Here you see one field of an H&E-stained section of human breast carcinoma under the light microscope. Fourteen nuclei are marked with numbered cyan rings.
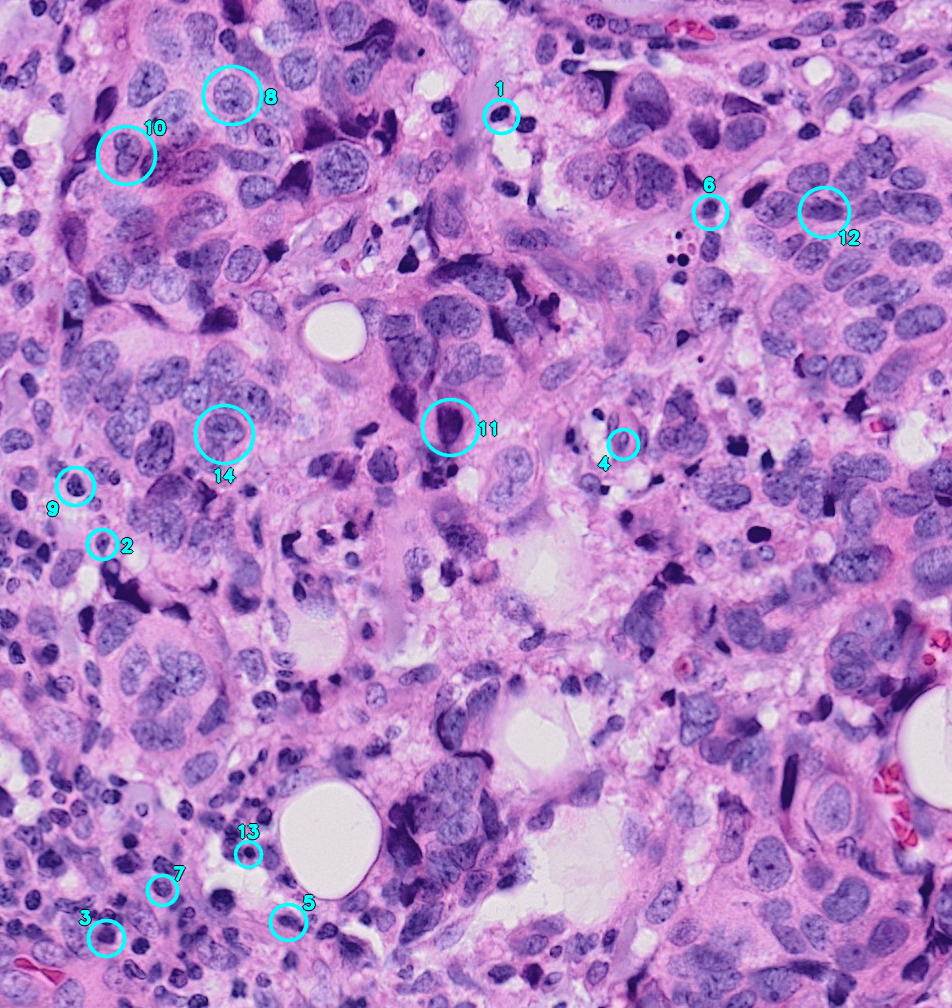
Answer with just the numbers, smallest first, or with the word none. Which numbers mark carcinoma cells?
8, 10, 11, 12, 14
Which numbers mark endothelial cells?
4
